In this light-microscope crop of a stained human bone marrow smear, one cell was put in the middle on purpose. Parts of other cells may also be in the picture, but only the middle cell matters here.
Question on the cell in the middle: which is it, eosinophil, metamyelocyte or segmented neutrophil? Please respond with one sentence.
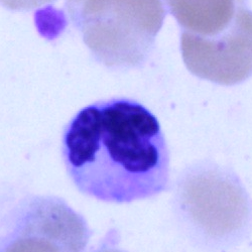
Centrally within this crop lies a segmented neutrophil.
